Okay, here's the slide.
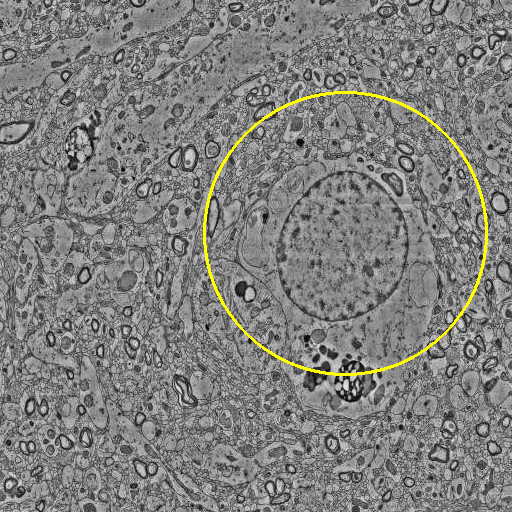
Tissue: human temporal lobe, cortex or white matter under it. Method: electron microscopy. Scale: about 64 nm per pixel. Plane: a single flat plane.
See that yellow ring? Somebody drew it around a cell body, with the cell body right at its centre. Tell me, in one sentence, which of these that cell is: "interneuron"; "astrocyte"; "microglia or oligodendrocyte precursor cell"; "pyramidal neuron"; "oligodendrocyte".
The cell in the middle of the ring is an astrocyte.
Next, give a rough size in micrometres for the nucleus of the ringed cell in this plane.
In this plane, about 10 micrometres in length and 8 in width.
